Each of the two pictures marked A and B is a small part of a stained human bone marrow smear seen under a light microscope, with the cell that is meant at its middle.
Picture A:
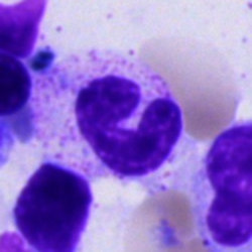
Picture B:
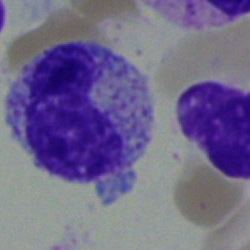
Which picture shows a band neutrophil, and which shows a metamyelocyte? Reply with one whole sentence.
Picture B shows a metamyelocyte, while picture A shows a band neutrophil.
